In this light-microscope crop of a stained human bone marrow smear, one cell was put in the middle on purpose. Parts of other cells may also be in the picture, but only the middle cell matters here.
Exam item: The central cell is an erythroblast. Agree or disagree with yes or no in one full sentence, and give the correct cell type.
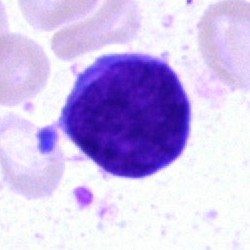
No, the cell found centrally in the crop is a blast, not an erythroblast.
